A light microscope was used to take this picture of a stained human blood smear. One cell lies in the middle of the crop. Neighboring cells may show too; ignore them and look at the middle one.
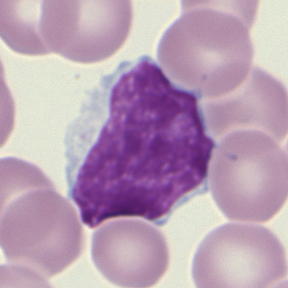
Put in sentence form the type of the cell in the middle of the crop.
This crop is built around a lymphocyte at its centre.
